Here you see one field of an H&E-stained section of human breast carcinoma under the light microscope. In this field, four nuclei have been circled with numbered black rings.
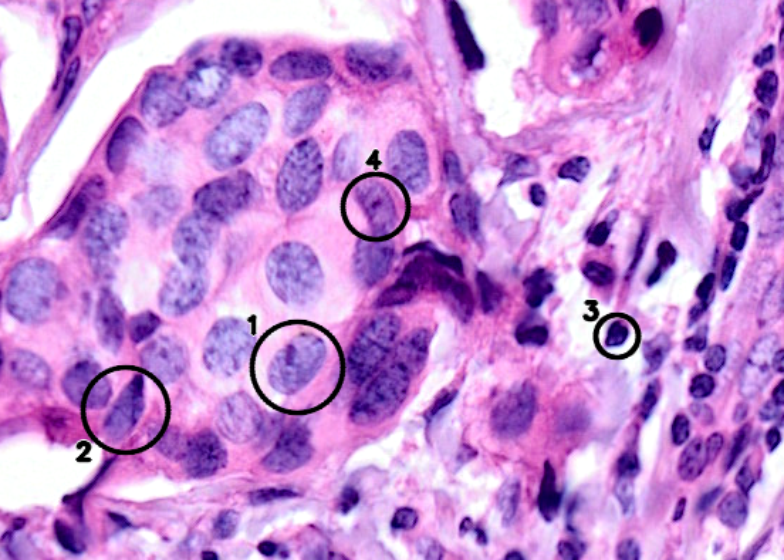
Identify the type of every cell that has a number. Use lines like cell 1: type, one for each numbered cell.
cell 1: carcinoma cell
cell 2: carcinoma cell
cell 3: lymphocyte
cell 4: carcinoma cell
